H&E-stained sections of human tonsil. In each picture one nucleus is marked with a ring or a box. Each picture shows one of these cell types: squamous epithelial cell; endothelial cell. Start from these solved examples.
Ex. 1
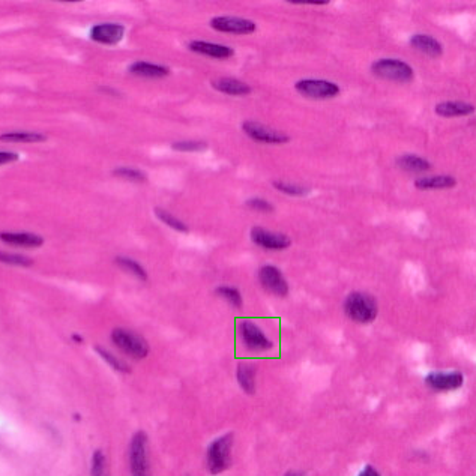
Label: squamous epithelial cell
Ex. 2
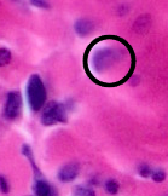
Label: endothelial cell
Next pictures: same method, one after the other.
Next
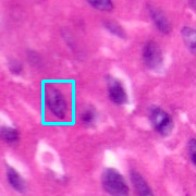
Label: squamous epithelial cell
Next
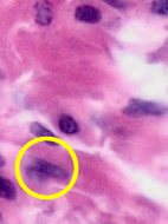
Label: endothelial cell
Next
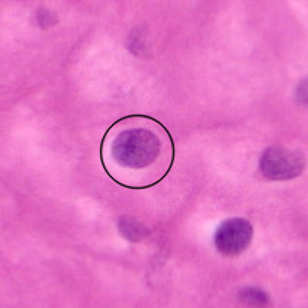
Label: squamous epithelial cell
